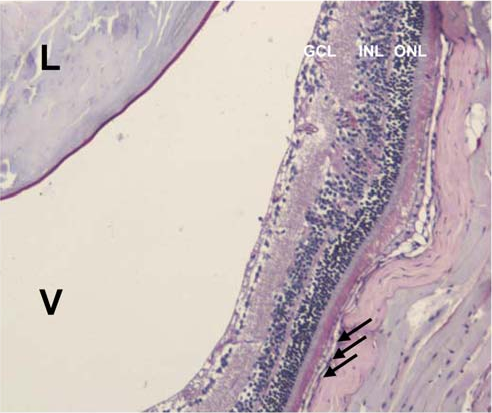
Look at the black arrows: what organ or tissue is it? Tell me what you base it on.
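Retinal Pigment Epithelium. It lies between the retina and the pink outer eye wall.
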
